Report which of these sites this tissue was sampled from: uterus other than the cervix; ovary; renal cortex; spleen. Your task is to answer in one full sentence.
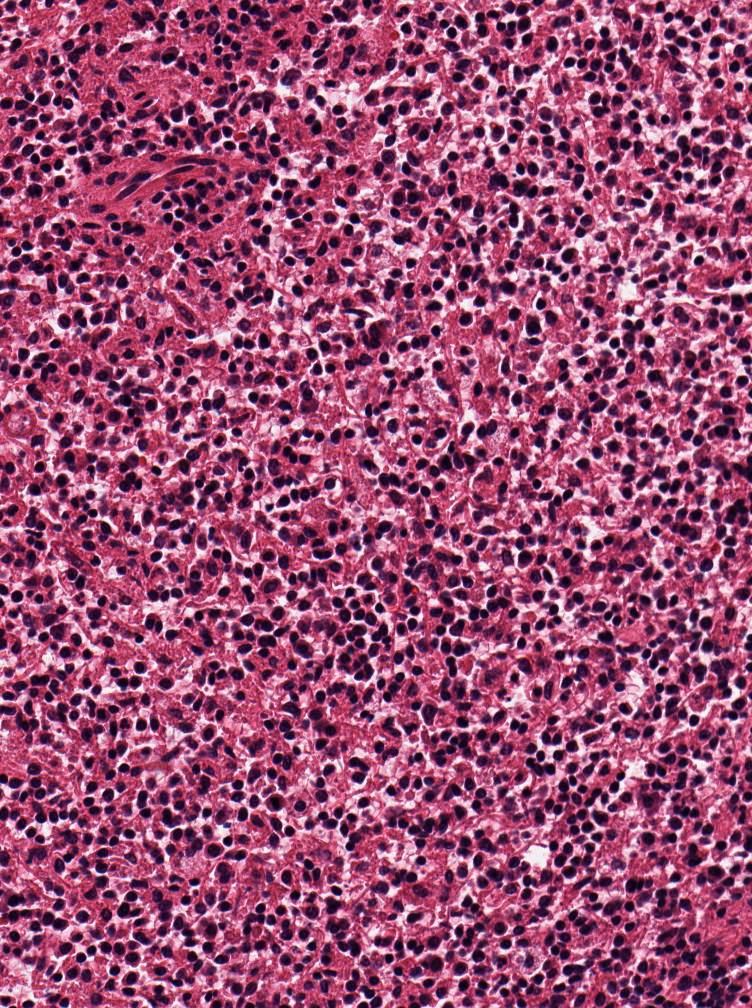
The tissue sectioned for this slide came from the spleen.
